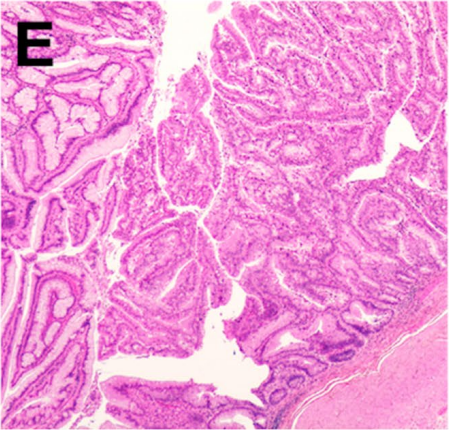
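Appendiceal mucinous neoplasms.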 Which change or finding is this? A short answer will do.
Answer: Complex pattern of growth.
